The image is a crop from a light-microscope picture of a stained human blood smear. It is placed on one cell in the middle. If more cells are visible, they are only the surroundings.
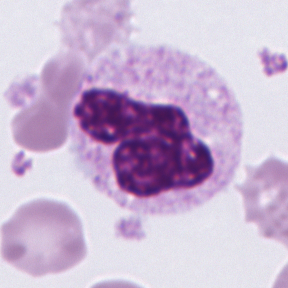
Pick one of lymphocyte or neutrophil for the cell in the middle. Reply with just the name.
neutrophil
